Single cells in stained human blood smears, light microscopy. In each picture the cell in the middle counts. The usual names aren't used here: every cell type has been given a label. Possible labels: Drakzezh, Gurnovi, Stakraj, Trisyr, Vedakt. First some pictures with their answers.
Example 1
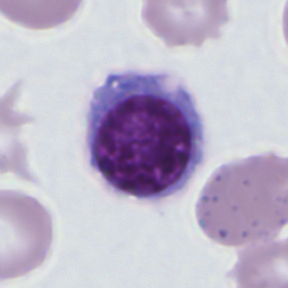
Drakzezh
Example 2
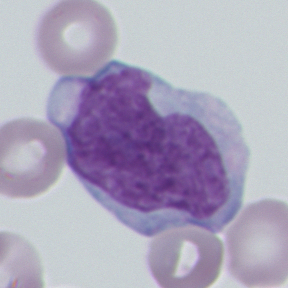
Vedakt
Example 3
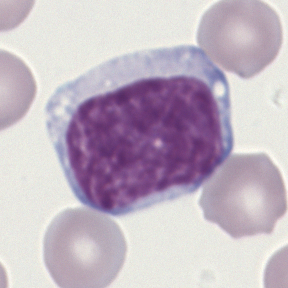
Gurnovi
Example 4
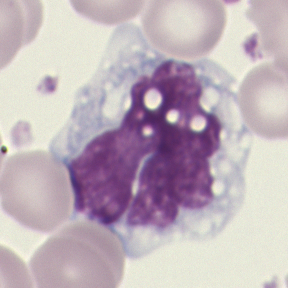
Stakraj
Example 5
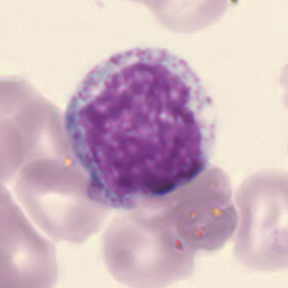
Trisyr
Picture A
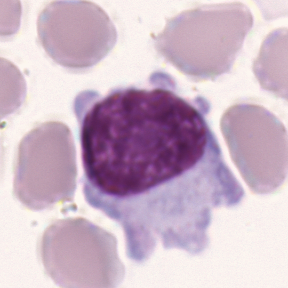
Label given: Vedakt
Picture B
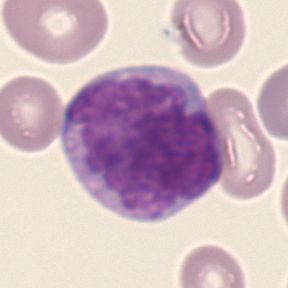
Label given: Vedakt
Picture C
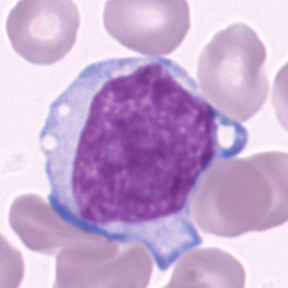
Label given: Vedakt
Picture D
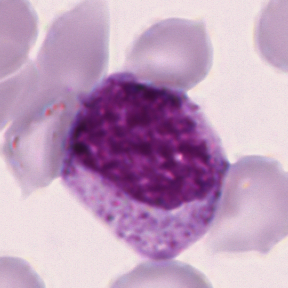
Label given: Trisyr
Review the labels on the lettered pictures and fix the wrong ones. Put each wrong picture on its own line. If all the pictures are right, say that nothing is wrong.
A should be Drakzezh, not Vedakt
C should be Gurnovi, not Vedakt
